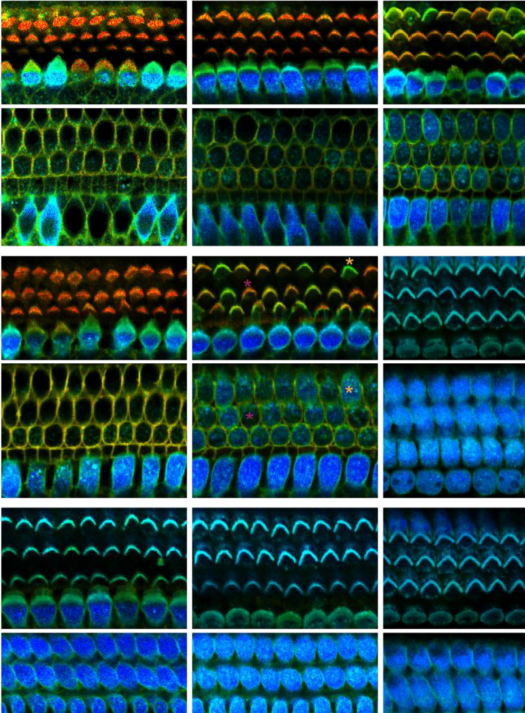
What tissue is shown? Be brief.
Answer: Organ of Corti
